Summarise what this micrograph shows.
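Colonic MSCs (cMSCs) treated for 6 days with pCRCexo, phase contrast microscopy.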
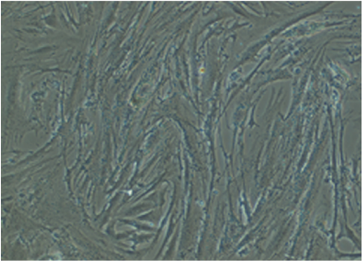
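The cells are long and spindle-shaped, packed closely together and lying side by side in parallel streams that sweep in curving, swirling bundles across the dish. Little empty space is left between them.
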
